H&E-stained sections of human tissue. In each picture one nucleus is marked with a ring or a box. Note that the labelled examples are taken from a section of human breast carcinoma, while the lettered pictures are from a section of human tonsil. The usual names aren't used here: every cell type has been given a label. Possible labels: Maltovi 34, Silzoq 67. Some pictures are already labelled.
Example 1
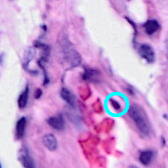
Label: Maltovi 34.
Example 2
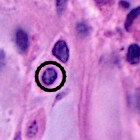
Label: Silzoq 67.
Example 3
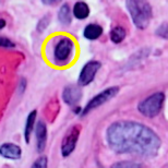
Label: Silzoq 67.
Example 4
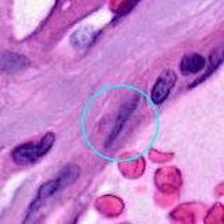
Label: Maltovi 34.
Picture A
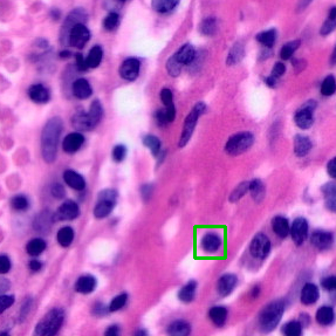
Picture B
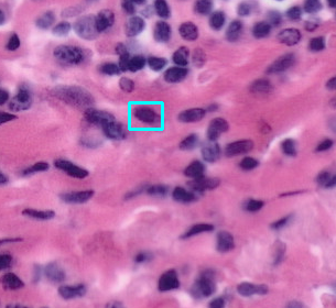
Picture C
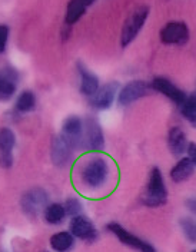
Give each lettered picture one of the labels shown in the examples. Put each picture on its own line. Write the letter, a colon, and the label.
A: Silzoq 67.
B: Silzoq 67.
C: Silzoq 67.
